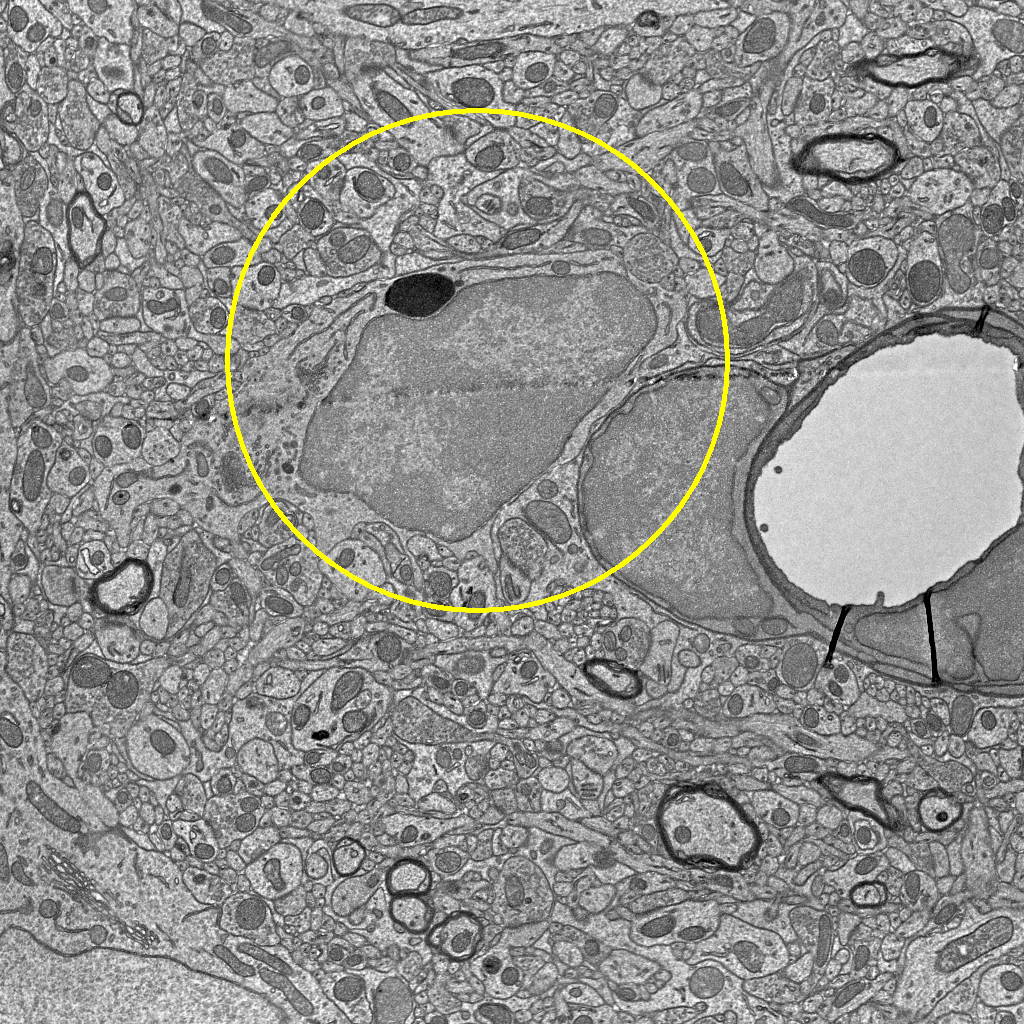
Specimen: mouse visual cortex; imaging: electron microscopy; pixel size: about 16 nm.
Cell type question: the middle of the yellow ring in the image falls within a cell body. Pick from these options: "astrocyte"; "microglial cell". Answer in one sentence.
The cell body at the center of the ring belongs to a microglial cell.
